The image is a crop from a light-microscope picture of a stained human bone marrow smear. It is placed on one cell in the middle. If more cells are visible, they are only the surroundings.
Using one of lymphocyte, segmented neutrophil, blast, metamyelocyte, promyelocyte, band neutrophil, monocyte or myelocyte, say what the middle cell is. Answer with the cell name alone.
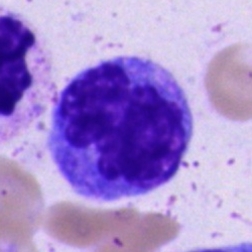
monocyte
